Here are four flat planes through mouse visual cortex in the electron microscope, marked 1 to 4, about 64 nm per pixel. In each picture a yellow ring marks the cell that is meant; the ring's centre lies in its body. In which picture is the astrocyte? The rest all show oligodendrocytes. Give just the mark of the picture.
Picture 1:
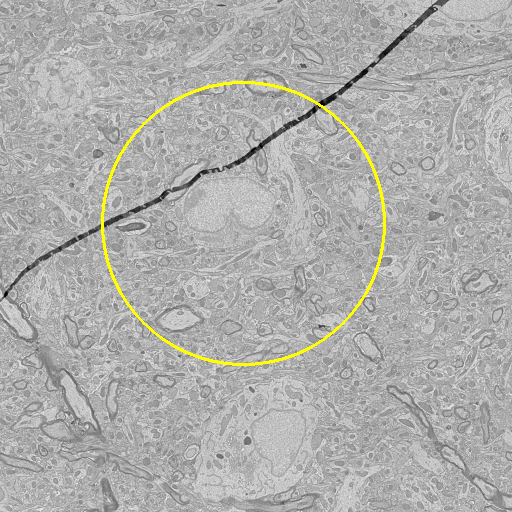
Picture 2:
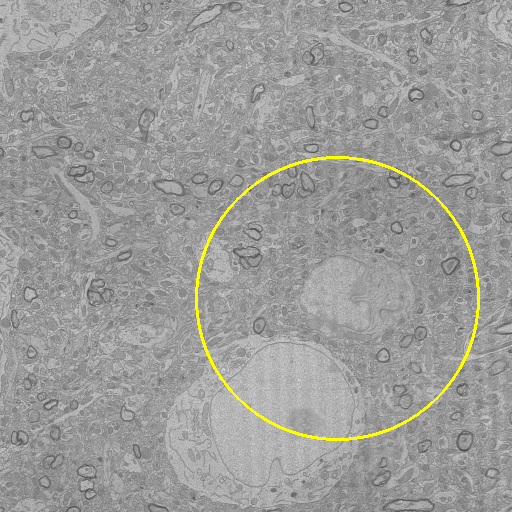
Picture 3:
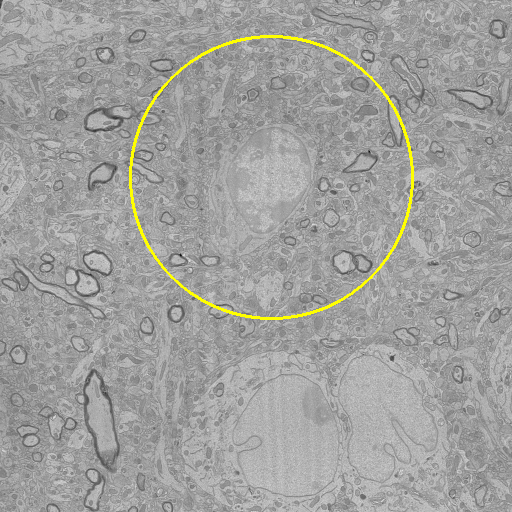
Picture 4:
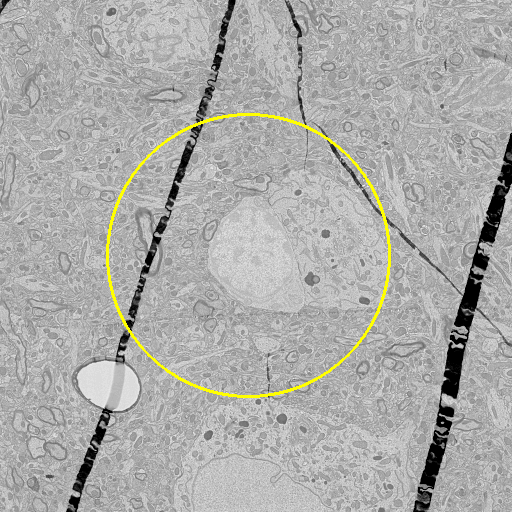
1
